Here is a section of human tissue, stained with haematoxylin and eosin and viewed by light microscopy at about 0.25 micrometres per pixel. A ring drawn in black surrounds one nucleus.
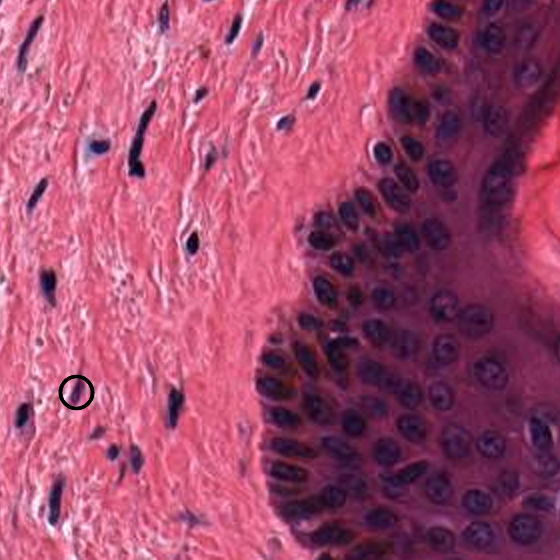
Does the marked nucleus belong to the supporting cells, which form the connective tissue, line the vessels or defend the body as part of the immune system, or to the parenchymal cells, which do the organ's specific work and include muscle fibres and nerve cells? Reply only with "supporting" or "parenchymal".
supporting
